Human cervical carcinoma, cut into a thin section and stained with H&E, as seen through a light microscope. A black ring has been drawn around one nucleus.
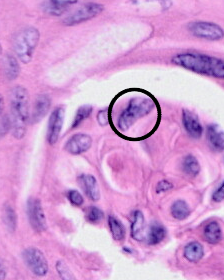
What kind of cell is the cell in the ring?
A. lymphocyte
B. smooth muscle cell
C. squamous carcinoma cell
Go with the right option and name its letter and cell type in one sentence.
Option C is the right choice, for the cell in the ring is a squamous carcinoma cell.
